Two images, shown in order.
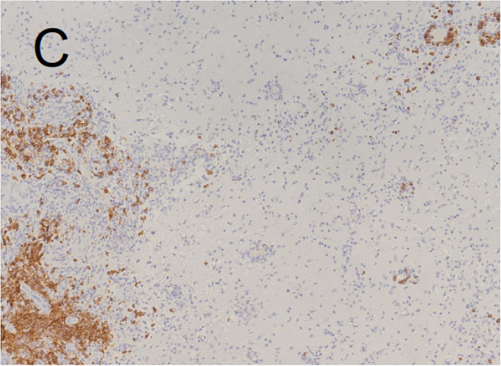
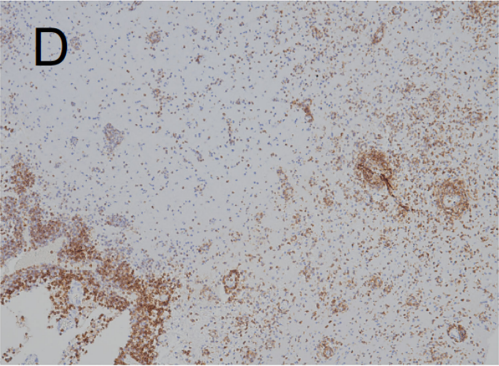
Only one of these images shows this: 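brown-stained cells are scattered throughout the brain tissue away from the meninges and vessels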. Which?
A: The second image.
